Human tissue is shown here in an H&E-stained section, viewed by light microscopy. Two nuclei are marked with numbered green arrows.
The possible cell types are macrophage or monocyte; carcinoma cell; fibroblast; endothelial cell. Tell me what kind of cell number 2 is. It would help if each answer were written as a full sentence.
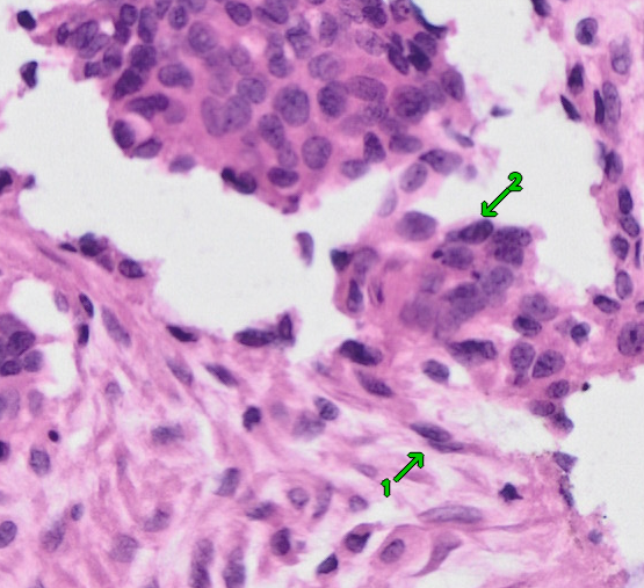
The cell with the number 2 is a carcinoma cell.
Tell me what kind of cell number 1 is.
The cell tagged with 1 in this tissue section is a fibroblast.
